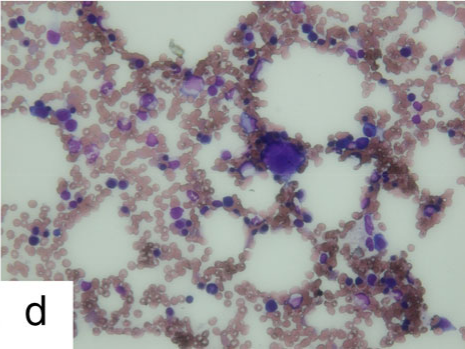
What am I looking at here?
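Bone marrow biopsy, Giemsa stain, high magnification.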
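The red blood cells appear as small, pale, round discs spread in a thin layer. Among them are scattered cells with blue-purple nuclei of differing size. Near the centre is one much larger cell with a big, dark purple nucleus. Clear rounded areas without cells are fat spaces. The nucleated cells are spread out rather than packed, so single cells can be picked out.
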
